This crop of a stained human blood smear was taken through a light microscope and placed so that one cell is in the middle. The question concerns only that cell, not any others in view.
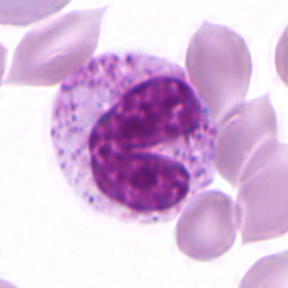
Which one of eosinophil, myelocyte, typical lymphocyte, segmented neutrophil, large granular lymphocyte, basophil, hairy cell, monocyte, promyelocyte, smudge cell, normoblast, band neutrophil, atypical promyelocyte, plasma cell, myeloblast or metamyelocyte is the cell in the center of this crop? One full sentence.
In short, the cell at the center is a band neutrophil.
